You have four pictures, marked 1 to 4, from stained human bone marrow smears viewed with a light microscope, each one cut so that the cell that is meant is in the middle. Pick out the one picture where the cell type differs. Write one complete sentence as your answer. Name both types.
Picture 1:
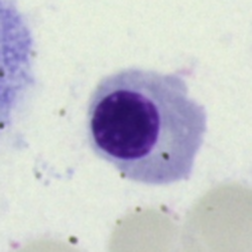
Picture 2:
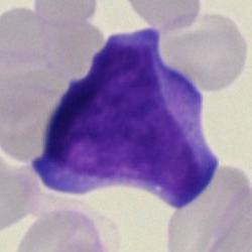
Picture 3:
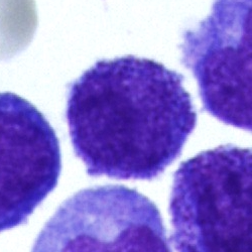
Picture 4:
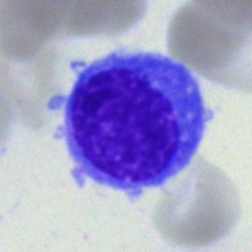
Picture 1 is the odd one out: it shows an erythroblast, while the others show blasts.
